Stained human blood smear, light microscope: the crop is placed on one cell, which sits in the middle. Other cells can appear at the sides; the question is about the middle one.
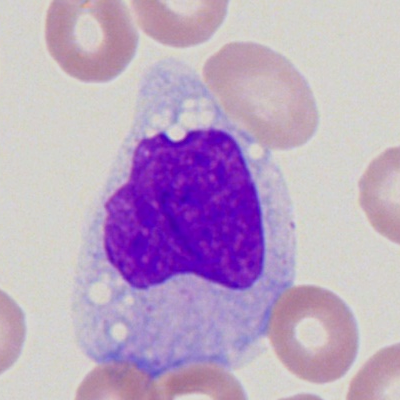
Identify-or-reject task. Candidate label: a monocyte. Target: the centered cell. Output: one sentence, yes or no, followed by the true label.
Yes, the cell in the centre is a monocyte.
